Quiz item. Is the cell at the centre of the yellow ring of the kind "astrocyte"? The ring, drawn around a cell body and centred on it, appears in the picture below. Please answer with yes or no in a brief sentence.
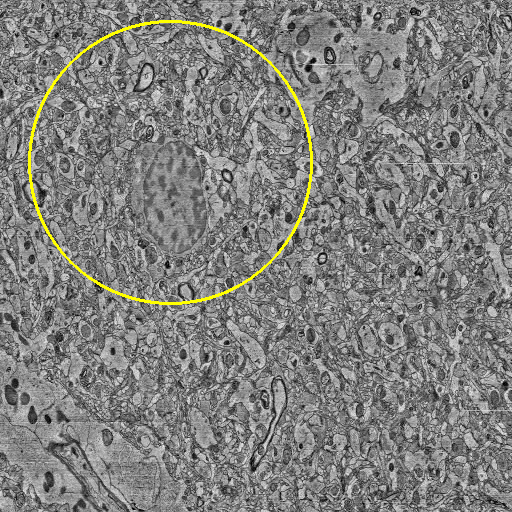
No, it is another kind of cell.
